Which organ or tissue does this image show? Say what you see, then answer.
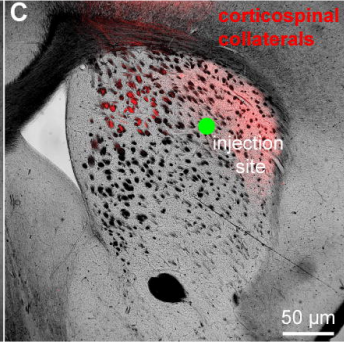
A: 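Striatum. Grey matter is studded with many small dark fiber bundles cut in cross section. A thick dark fiber band curves over the top. A pale empty cavity lies at the upper left edge.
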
